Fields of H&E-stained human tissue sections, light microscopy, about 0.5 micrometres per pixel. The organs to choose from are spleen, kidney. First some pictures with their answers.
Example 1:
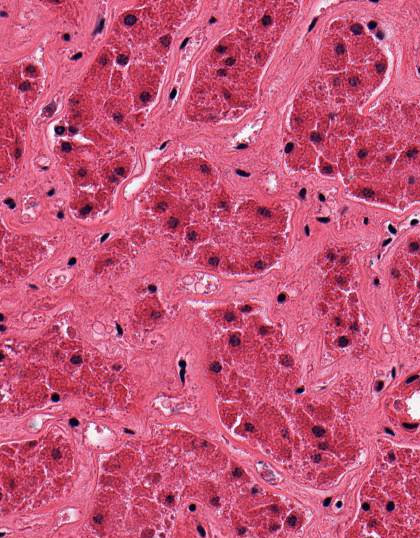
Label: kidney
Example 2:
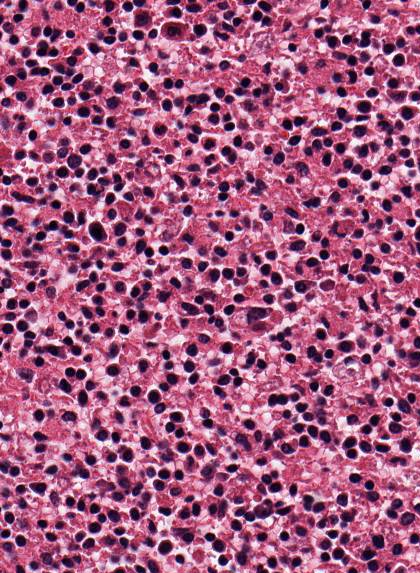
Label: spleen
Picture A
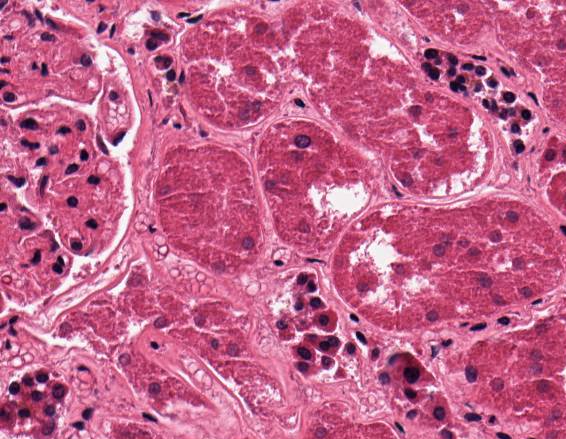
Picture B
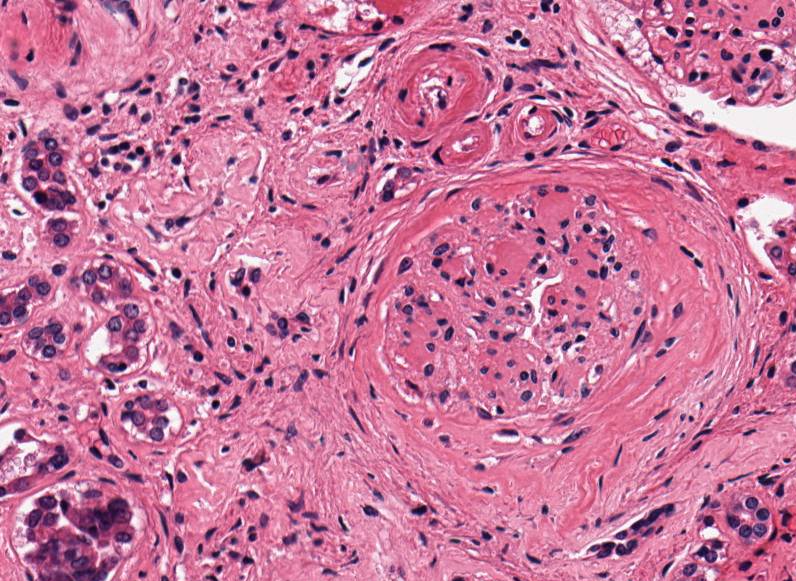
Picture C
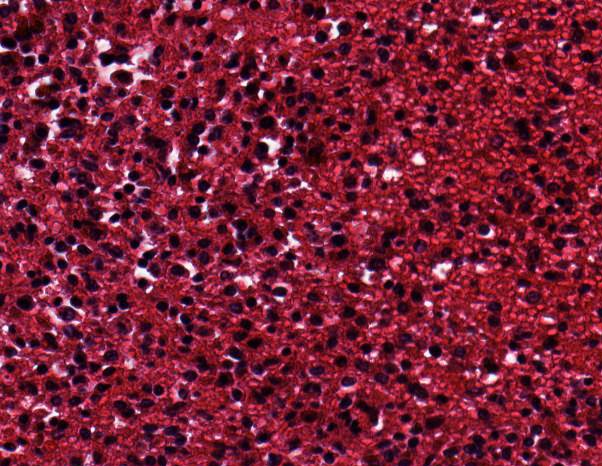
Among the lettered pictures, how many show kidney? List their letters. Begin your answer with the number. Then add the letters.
2: A, B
